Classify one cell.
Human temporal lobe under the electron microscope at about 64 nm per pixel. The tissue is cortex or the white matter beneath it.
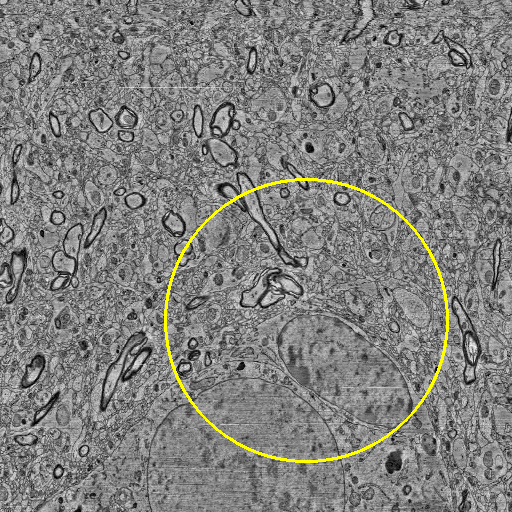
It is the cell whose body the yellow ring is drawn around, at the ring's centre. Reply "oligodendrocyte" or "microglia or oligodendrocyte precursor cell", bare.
microglia or oligodendrocyte precursor cell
